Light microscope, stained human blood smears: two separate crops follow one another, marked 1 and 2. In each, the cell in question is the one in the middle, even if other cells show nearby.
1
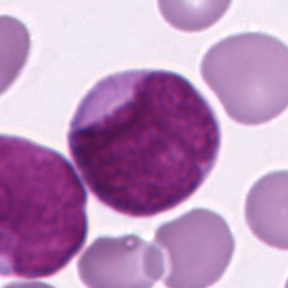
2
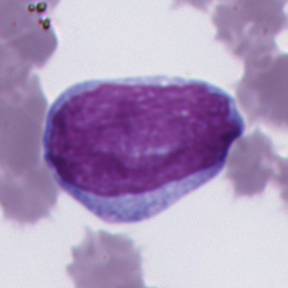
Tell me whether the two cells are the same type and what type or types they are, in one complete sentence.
Yes, what both crops show at their centres are blasts.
